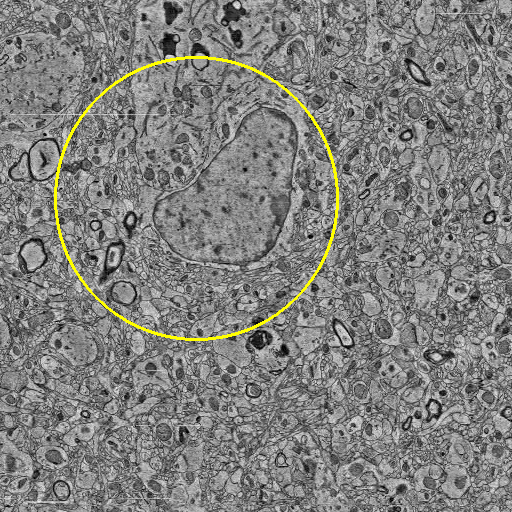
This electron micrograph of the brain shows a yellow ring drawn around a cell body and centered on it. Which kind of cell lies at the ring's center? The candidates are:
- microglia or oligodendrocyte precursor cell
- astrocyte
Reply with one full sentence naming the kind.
The cell lying at the ring's center in this micrograph is a microglial cell or oligodendrocyte precursor cell.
